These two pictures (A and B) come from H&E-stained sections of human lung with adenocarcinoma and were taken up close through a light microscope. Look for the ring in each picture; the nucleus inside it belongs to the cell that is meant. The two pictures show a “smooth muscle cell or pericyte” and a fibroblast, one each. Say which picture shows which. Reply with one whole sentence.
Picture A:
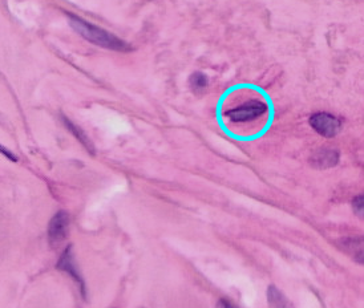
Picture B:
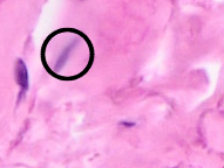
The cell in picture A is a “smooth muscle cell or pericyte”, and the one in picture B is a fibroblast.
